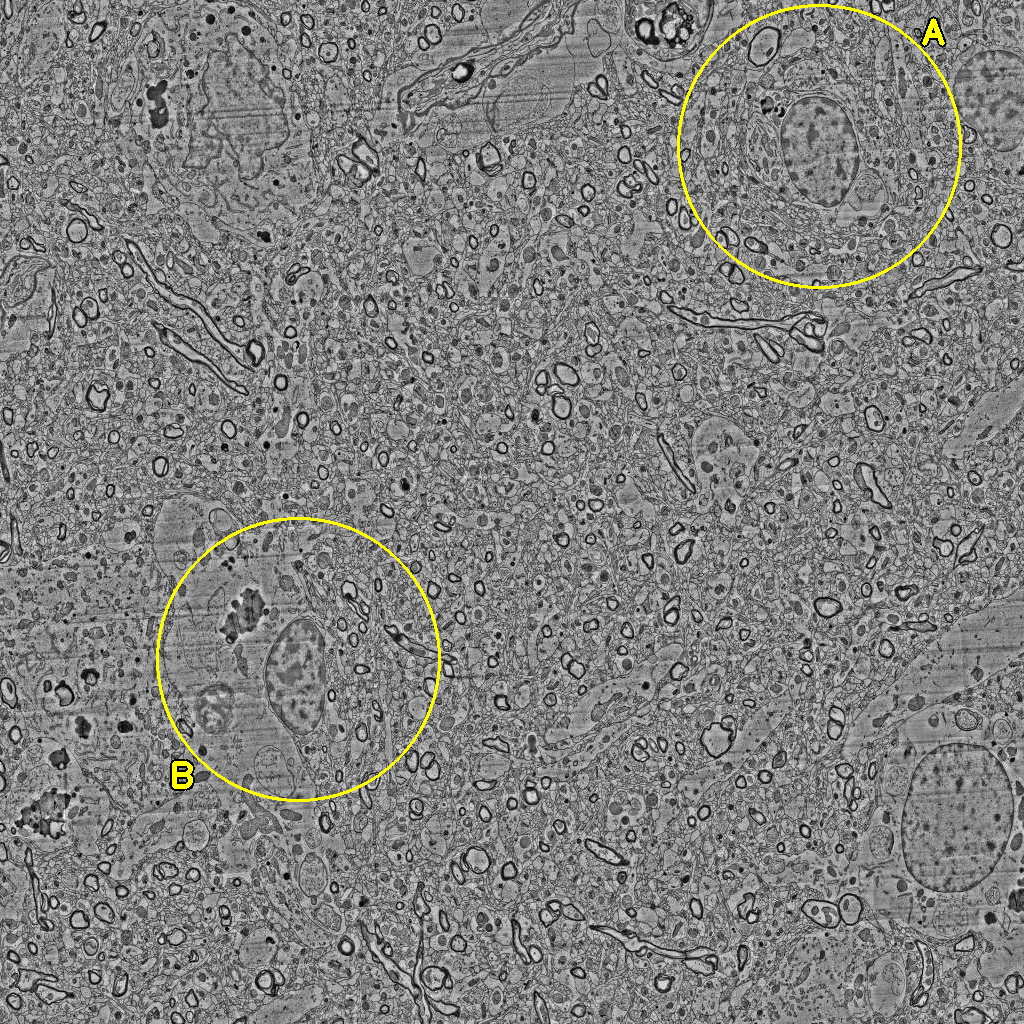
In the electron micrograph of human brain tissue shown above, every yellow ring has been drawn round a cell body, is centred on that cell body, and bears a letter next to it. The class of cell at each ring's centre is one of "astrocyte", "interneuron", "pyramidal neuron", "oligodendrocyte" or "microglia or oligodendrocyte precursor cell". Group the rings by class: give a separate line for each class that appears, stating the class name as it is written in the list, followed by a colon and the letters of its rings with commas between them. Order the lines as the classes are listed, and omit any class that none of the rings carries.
microglia or oligodendrocyte precursor cell: A, B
